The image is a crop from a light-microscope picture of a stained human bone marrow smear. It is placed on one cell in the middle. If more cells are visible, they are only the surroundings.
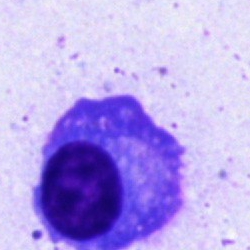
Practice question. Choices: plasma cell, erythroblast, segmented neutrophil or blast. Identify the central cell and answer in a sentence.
In the center of this field lies a plasma cell.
